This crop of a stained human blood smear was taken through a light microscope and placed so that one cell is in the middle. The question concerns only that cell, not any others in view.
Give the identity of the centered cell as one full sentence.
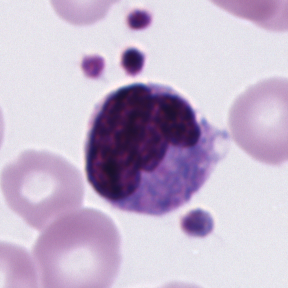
The crop shows a monocyte in its centre.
